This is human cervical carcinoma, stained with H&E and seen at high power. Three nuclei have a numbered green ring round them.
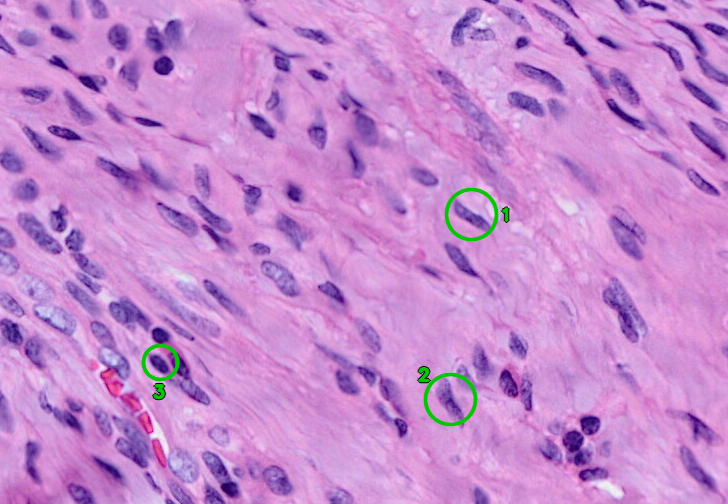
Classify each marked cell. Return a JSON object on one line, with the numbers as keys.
{"1": "fibroblast", "2": "fibroblast", "3": "lymphocyte"}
